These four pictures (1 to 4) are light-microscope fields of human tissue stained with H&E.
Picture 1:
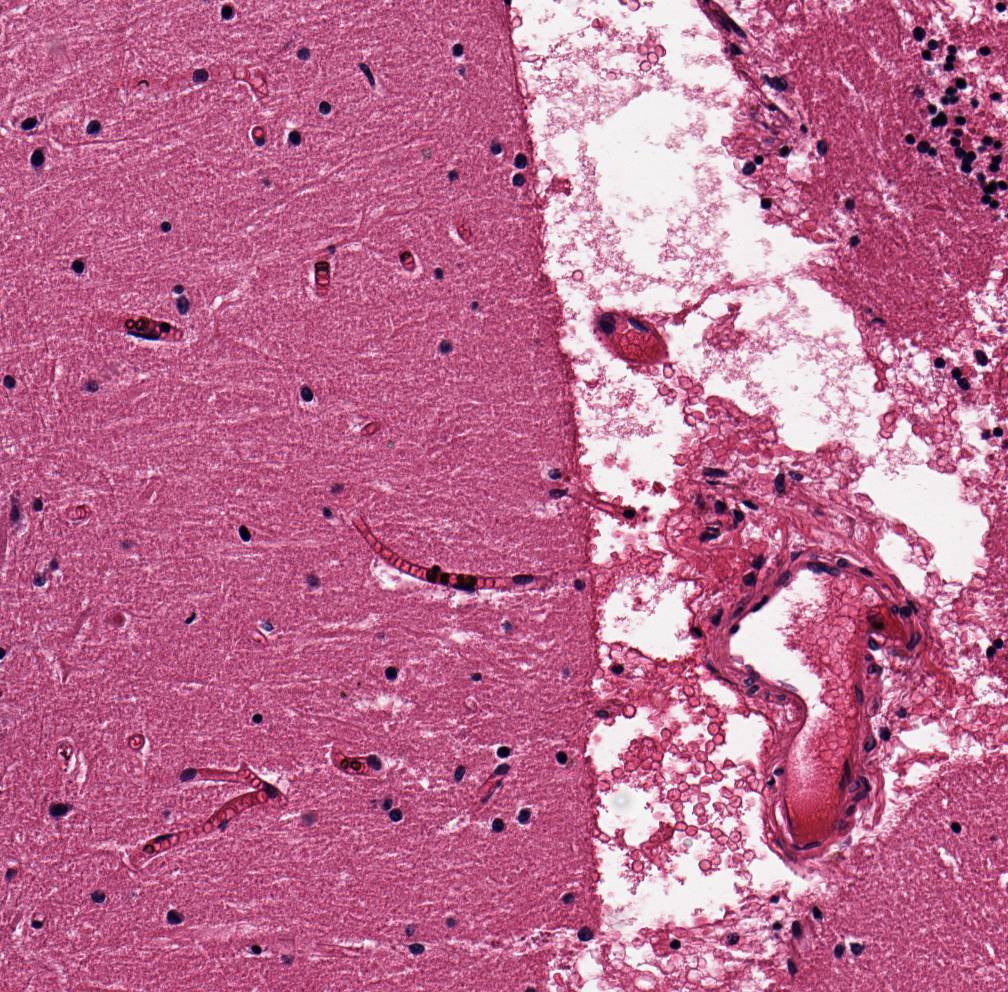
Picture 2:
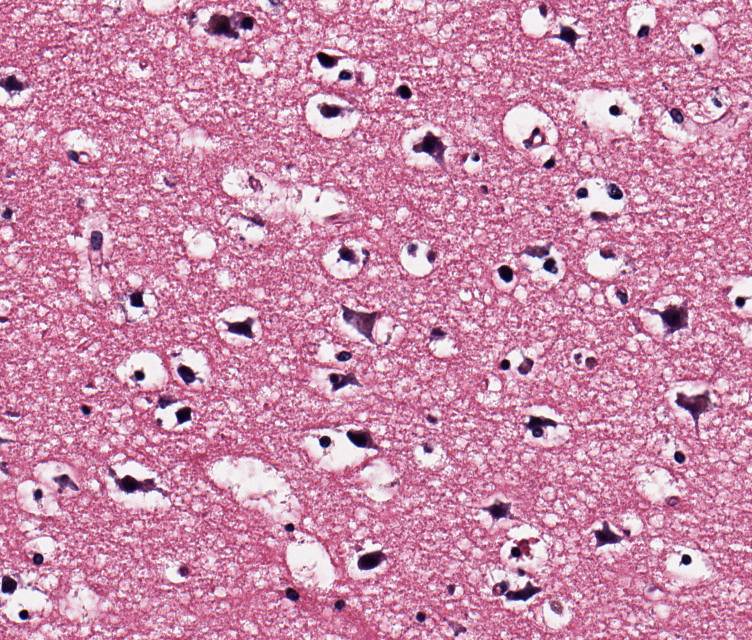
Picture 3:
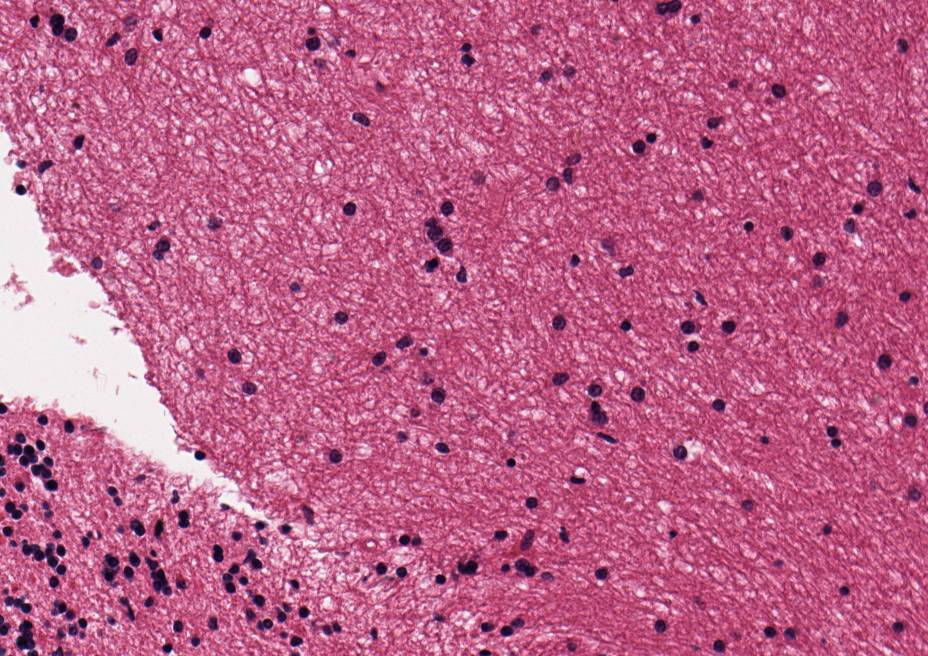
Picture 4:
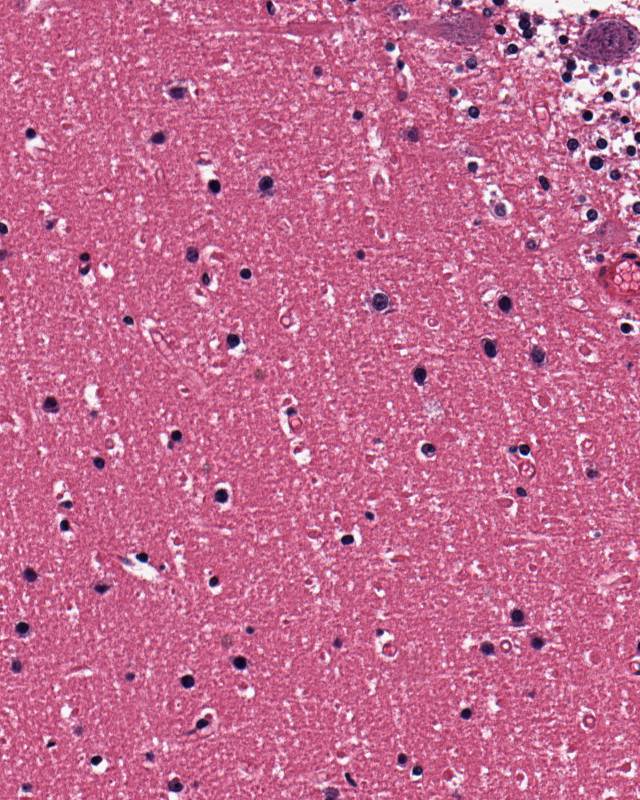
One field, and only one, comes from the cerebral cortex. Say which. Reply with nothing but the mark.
2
